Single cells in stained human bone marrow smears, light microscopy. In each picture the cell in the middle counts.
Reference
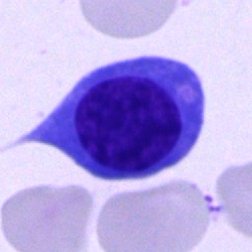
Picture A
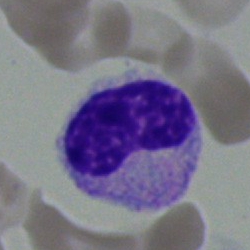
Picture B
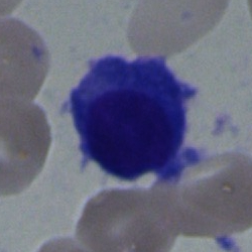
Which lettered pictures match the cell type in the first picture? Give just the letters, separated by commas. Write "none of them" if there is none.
B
